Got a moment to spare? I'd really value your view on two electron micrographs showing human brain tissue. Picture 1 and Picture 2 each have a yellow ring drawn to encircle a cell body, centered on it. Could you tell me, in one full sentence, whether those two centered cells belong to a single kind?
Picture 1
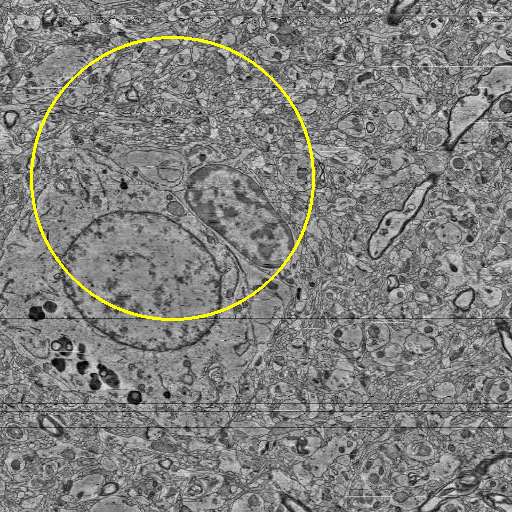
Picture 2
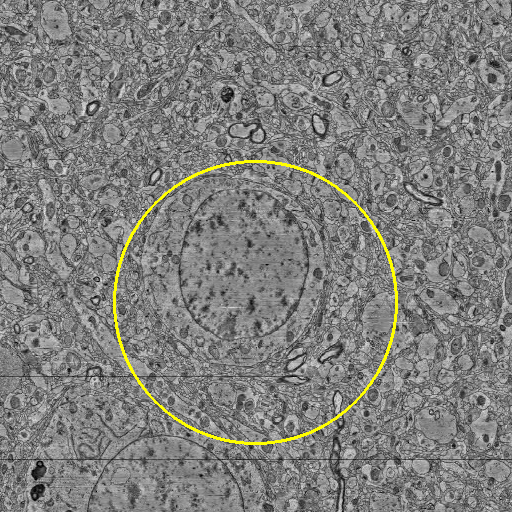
No, the two centered cells in Picture 1 and Picture 2 are of two kinds.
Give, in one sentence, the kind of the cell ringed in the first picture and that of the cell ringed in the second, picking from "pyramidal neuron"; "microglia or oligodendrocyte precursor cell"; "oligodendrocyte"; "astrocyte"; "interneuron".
For the first picture it is a microglial cell or oligodendrocyte precursor cell; for the second, a pyramidal neuron.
